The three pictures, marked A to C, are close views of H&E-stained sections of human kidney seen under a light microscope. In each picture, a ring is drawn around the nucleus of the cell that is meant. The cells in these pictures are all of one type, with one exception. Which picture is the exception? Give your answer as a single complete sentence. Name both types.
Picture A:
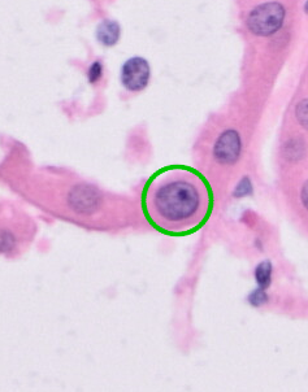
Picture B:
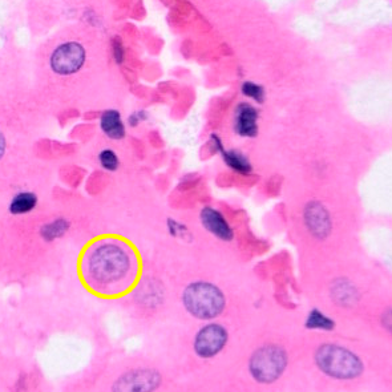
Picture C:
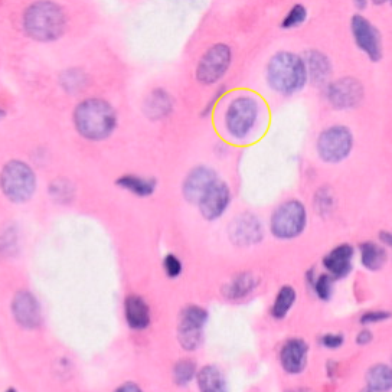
All pictures except C show proximal tubule cells; picture C shows a collecting duct cell.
